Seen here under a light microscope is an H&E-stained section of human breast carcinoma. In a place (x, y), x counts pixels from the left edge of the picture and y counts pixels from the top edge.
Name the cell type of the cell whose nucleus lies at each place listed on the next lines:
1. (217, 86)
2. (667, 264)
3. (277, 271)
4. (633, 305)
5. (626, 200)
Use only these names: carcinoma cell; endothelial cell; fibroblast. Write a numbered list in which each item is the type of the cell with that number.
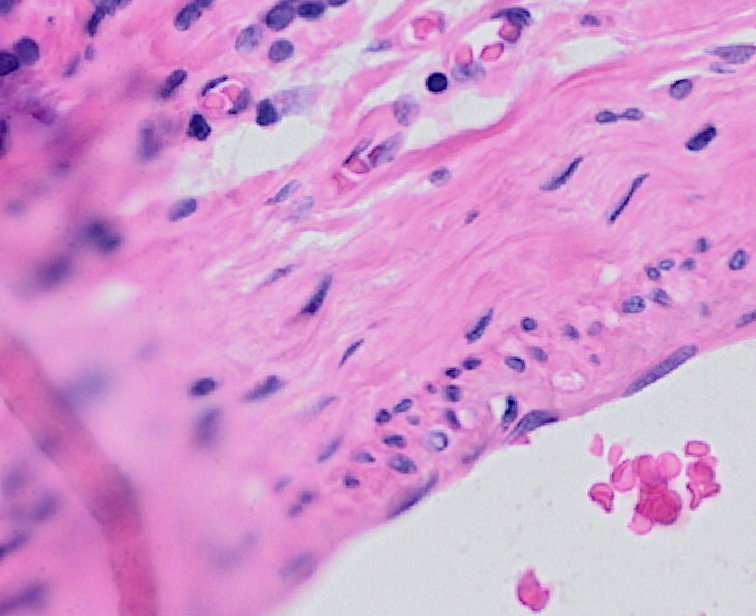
1. endothelial cell
2. endothelial cell
3. fibroblast
4. endothelial cell
5. fibroblast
